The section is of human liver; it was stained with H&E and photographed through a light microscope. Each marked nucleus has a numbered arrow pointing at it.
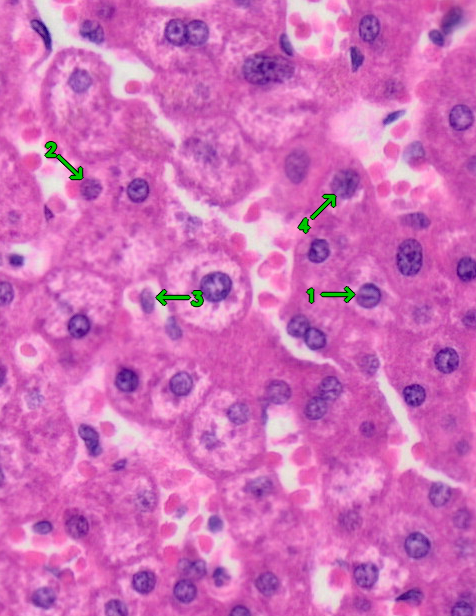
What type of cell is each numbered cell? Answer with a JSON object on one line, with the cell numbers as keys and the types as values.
{"1": "hepatocyte", "2": "hepatocyte", "3": "Kupffer cell", "4": "hepatocyte"}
